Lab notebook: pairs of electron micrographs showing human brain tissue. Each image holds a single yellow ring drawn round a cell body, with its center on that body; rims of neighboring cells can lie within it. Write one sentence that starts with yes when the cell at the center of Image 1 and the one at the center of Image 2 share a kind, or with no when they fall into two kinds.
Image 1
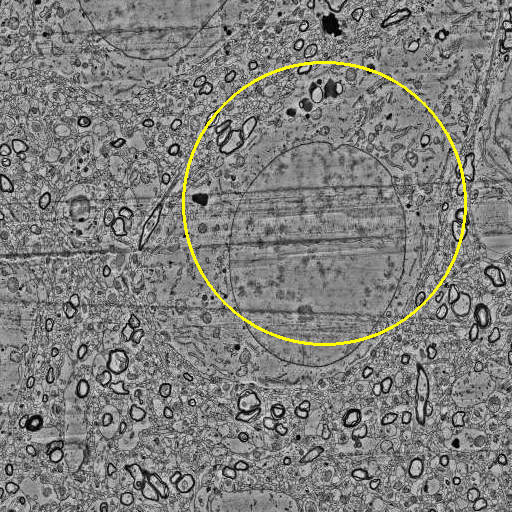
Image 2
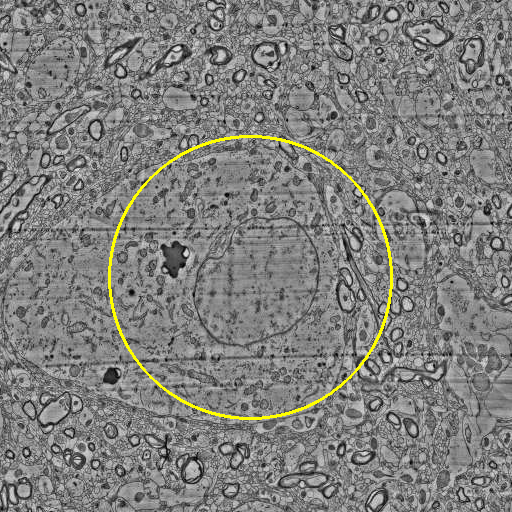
Yes, the centered cell in Image 1 and the centered cell in Image 2 are of one kind.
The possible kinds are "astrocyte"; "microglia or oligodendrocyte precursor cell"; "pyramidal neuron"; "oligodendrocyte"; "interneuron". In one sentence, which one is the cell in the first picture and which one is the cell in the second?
In both pictures the ring is centred on a pyramidal neuron.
